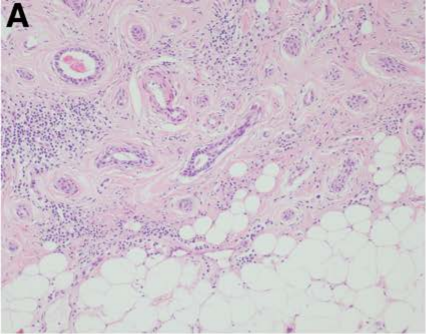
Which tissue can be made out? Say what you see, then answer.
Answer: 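Subcutaneous adipose tissue. Large clear empty-looking rounded vacuoles with thin walls fill the lower right. Small epithelial nests and ducts sit in pink stroma just above and among these vacuoles.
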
